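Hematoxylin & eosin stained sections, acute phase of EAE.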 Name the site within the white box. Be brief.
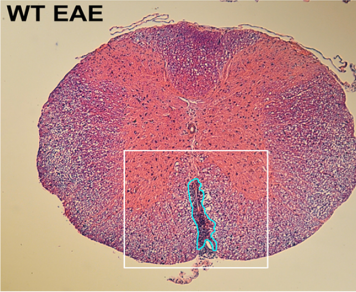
Ventral funiculus.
